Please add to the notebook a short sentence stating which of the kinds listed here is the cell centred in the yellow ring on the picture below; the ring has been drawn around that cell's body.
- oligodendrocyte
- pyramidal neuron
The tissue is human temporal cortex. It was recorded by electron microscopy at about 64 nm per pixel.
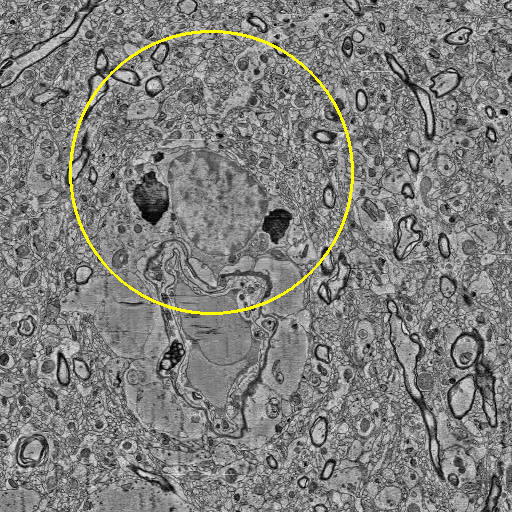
The cell centred in the yellow ring is an oligodendrocyte.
